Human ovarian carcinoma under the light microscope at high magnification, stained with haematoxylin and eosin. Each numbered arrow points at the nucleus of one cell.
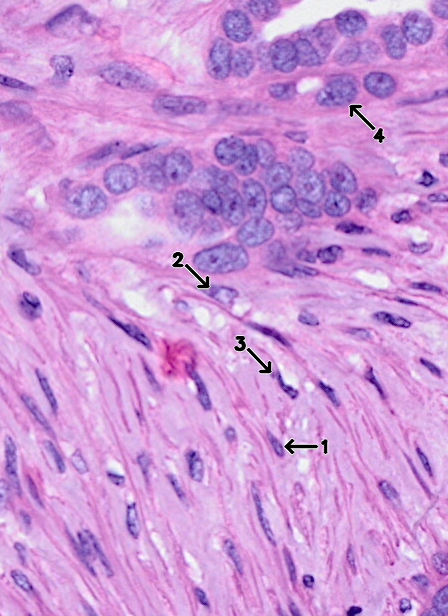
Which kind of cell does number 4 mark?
carcinoma cell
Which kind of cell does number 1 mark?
fibroblast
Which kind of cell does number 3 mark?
fibroblast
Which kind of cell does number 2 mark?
fibroblast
